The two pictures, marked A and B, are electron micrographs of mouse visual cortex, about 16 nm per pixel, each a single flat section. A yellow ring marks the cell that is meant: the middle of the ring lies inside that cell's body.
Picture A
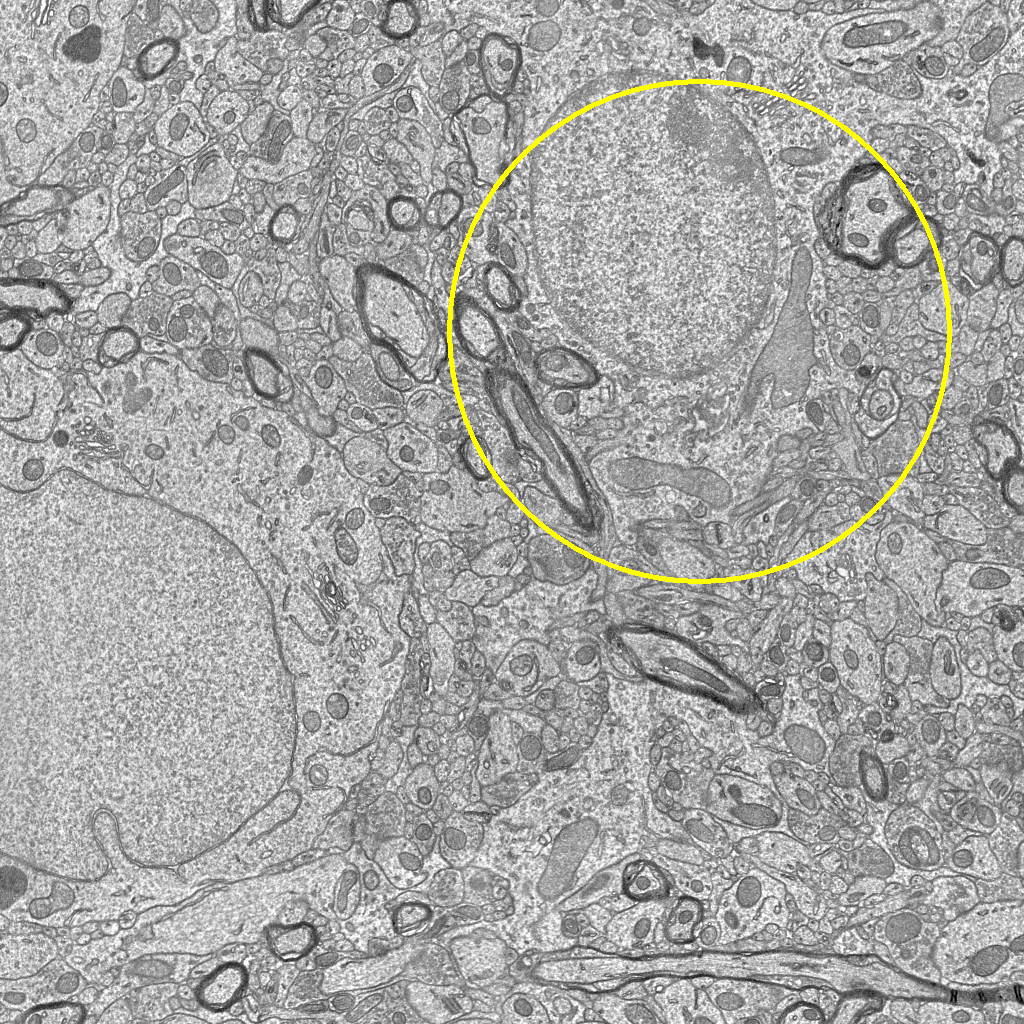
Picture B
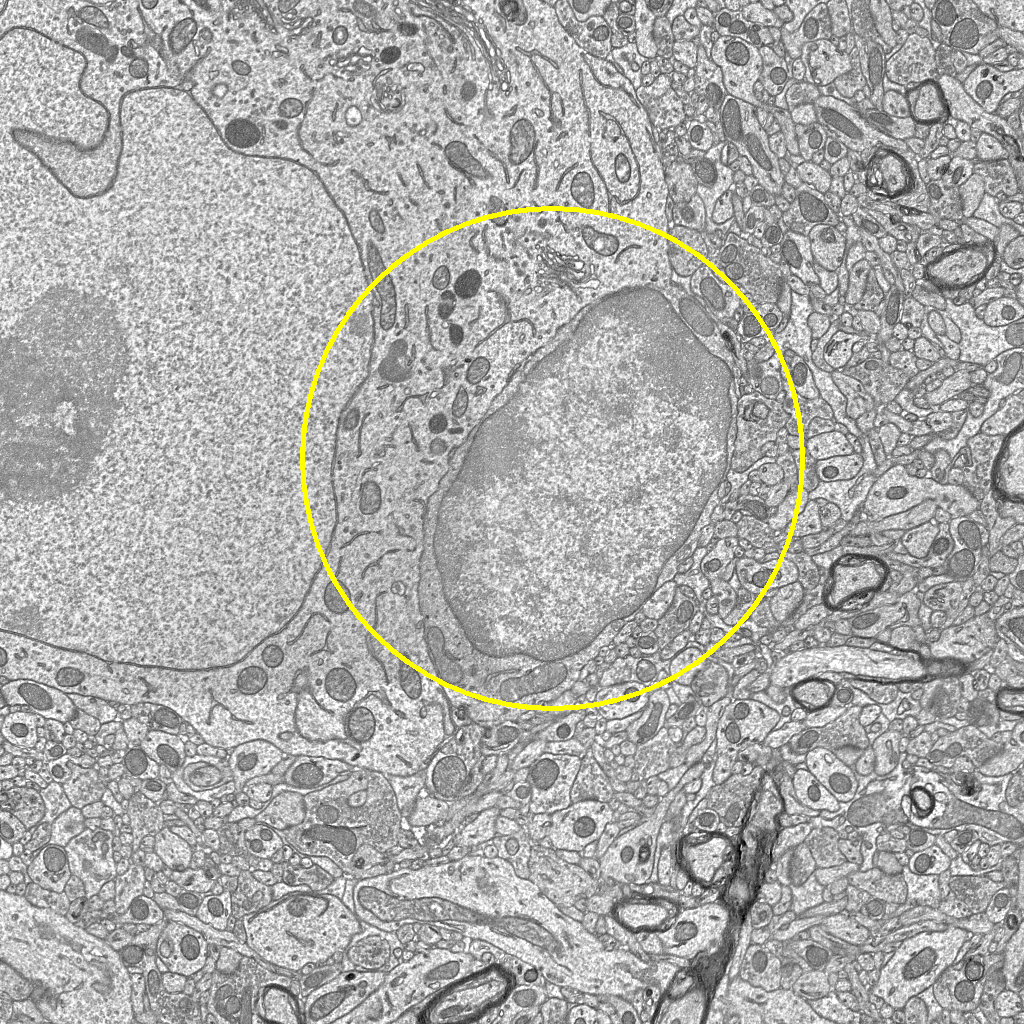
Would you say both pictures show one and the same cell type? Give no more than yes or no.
no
